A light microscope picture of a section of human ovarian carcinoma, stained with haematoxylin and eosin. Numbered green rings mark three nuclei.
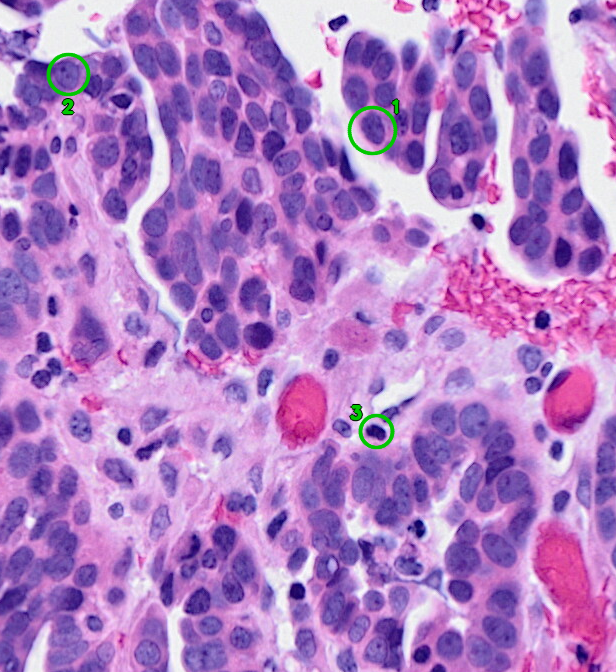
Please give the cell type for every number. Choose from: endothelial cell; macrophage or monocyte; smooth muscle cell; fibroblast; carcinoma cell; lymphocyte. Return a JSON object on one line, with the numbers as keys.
{"1": "carcinoma cell", "2": "carcinoma cell", "3": "lymphocyte"}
